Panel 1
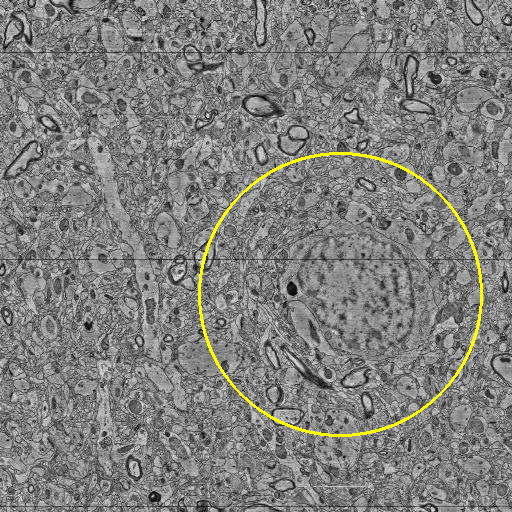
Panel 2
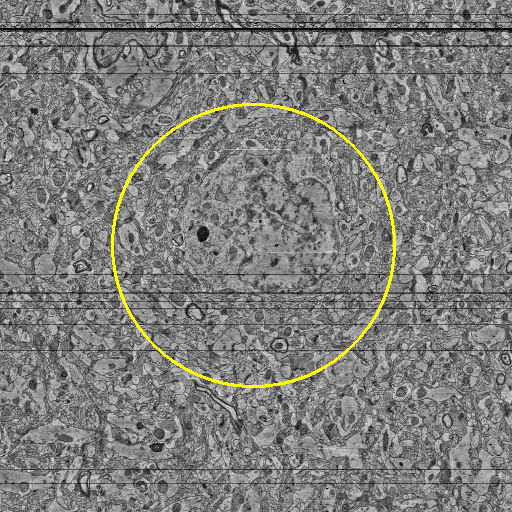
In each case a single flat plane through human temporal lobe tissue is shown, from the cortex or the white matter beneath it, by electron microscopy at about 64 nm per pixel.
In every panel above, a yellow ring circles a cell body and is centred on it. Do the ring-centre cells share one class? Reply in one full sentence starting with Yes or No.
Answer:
Yes, the two cells at the ring centres in the panels belong to one class.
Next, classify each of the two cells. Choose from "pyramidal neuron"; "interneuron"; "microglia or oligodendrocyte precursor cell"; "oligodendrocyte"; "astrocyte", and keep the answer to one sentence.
Both the first and the second picture show an interneuron in the ring.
